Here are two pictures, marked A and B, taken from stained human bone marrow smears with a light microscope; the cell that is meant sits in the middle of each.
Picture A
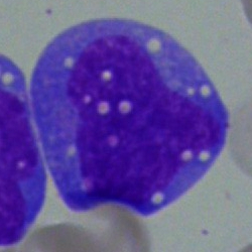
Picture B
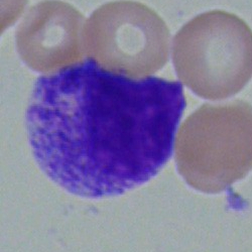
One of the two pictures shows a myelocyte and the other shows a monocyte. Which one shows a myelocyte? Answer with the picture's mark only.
B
